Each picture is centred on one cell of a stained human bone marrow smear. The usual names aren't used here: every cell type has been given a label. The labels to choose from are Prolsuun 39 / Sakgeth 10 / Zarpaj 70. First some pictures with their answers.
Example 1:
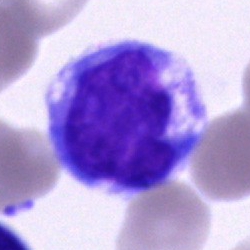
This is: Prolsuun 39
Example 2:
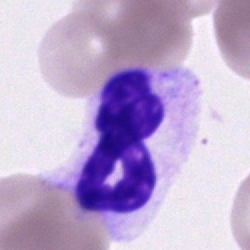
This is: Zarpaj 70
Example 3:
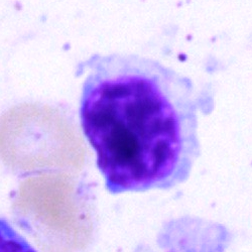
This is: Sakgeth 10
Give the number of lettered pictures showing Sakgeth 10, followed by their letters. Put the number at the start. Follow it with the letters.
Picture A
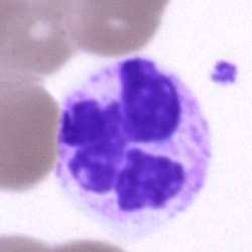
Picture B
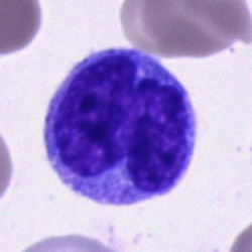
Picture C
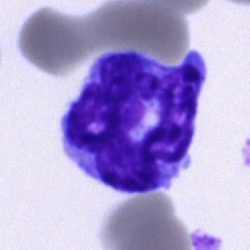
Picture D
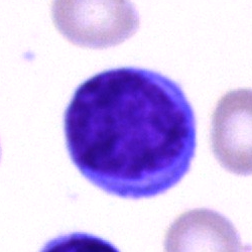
1: D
